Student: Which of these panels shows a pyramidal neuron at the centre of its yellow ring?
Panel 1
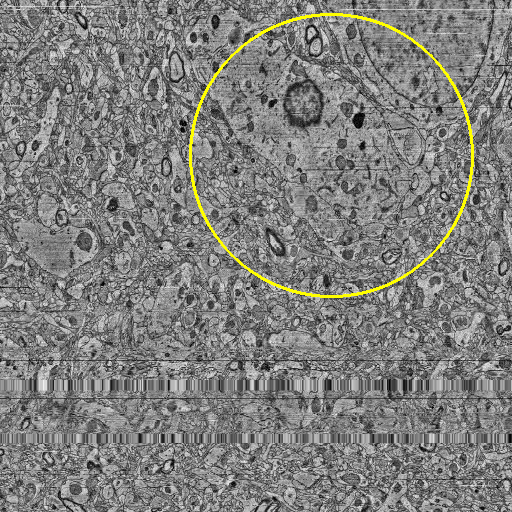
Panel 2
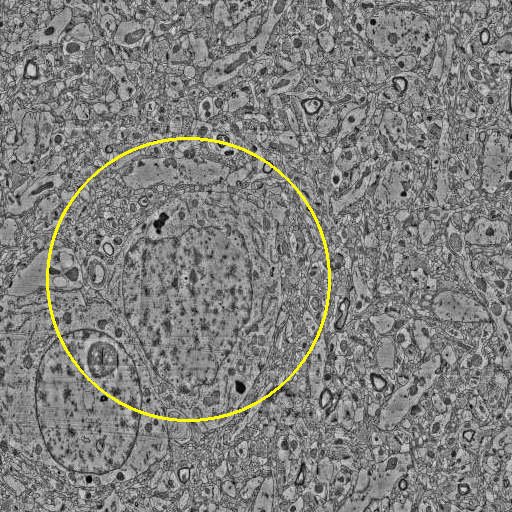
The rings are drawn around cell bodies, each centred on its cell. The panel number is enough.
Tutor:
1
